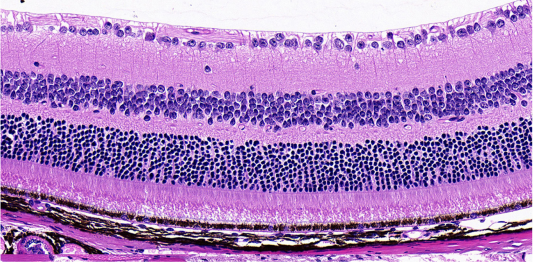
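Along the inner surface at the top is a single sparse row of larger, paler ganglion cell nuclei, followed by a broad pink fibrous band and then an inner nuclear layer several cells thick. Below a thin pink band lies the outer nuclear layer, a thick stack of small, densely packed, dark round nuclei. Beneath it are the pale pink, finely striated inner and outer segments of the photoreceptors, resting on a dark brown-black band of retinal pigment epithelium.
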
